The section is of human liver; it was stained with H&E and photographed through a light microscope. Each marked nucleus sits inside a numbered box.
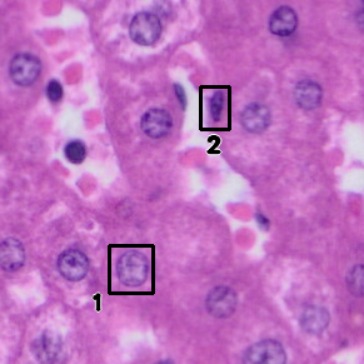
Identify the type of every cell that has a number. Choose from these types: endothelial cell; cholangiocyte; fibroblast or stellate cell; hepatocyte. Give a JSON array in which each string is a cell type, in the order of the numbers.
["hepatocyte", "fibroblast or stellate cell"]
